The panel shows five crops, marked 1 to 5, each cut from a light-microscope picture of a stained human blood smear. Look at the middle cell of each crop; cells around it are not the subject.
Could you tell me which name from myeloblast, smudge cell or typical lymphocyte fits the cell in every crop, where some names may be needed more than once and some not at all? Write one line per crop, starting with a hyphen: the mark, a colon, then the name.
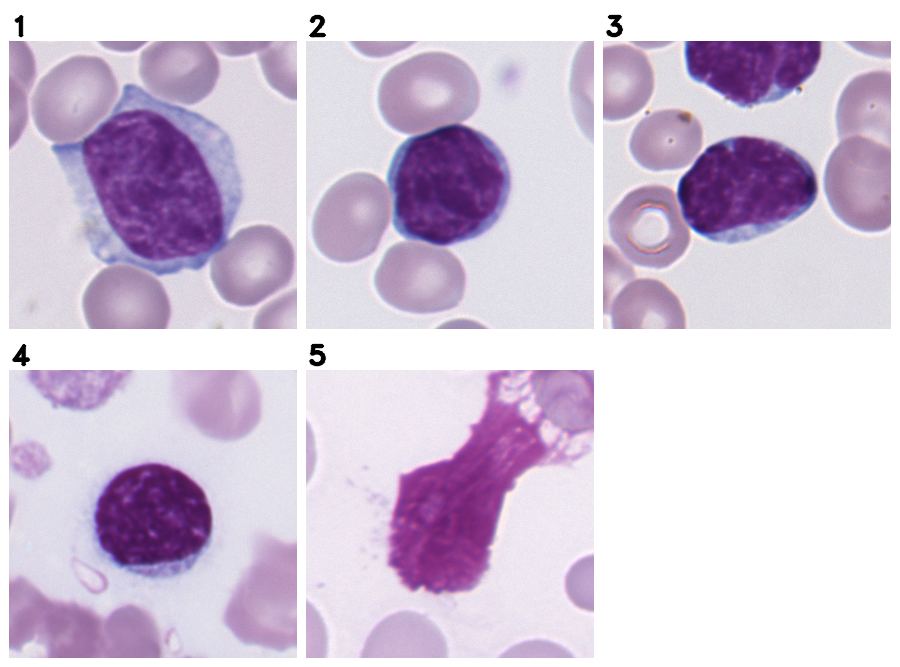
- 1: myeloblast
- 2: typical lymphocyte
- 3: typical lymphocyte
- 4: typical lymphocyte
- 5: smudge cell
